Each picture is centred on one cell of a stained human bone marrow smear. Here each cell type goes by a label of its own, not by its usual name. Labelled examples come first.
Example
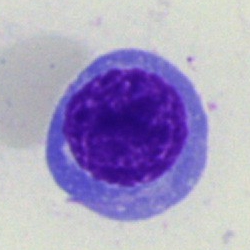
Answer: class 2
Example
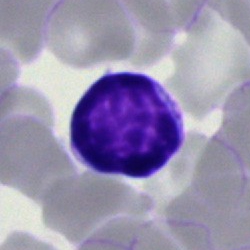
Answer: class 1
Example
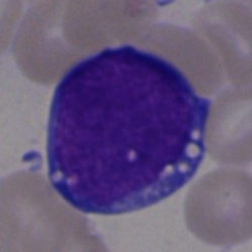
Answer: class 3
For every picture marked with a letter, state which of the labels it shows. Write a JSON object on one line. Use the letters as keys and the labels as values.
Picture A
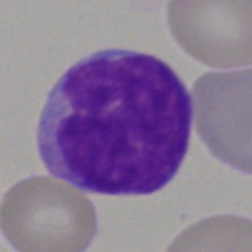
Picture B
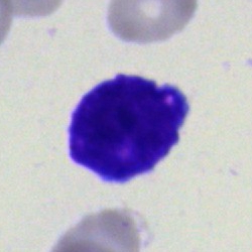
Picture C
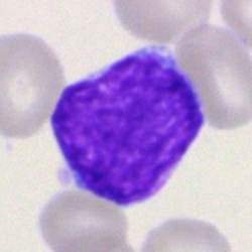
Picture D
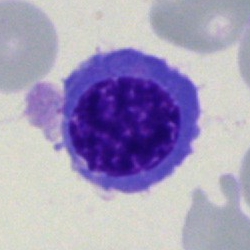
{"A": "class 3", "B": "class 3", "C": "class 3", "D": "class 2"}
